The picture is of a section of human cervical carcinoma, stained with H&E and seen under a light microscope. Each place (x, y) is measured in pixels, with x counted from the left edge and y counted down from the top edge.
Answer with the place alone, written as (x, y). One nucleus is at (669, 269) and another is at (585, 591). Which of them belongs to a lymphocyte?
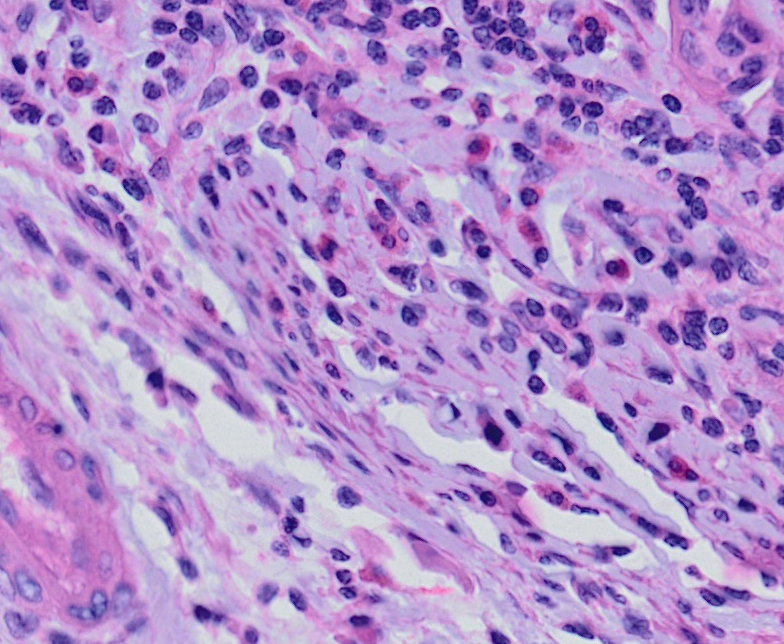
(669, 269)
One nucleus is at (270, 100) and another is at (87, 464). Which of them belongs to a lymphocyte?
(270, 100)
